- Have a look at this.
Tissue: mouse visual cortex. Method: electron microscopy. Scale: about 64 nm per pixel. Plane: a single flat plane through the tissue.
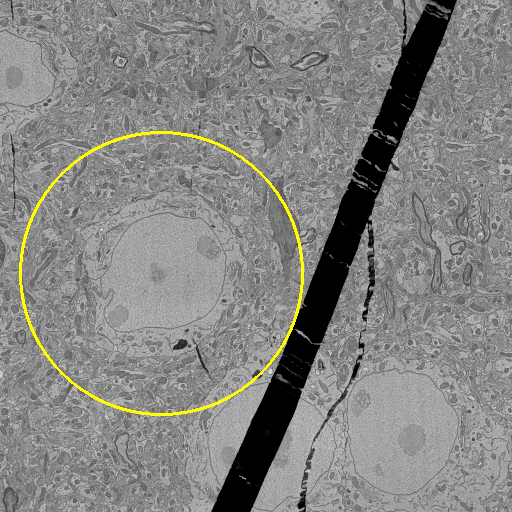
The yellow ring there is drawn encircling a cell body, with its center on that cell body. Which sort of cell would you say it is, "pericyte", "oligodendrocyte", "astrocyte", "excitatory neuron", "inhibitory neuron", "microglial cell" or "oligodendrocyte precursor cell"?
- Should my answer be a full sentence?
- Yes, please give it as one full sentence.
For this picture, an excitatory neuron is the cell where the yellow ring has its center.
